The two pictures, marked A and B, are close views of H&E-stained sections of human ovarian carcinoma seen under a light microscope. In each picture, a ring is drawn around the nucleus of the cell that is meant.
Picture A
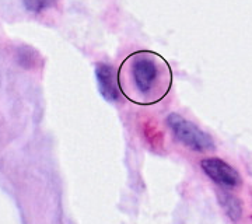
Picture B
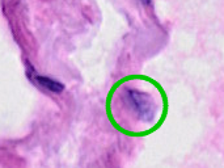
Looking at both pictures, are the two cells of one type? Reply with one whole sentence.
No, picture A shows a “macrophage or monocyte” and picture B shows an endothelial cell.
